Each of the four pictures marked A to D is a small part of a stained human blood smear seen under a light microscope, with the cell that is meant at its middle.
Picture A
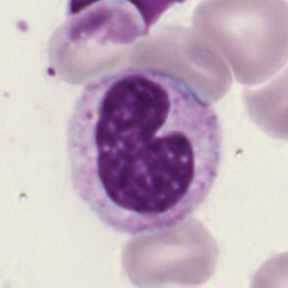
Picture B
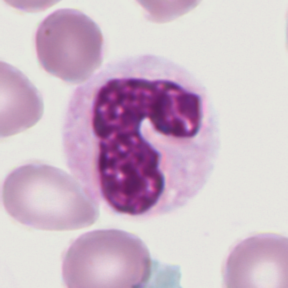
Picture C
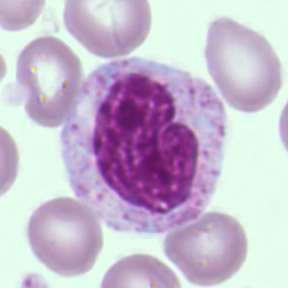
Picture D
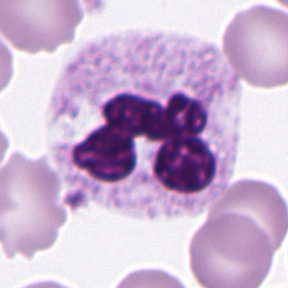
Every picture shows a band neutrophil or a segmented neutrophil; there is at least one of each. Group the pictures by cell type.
A: band neutrophil
B: band neutrophil
C: band neutrophil
D: segmented neutrophil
